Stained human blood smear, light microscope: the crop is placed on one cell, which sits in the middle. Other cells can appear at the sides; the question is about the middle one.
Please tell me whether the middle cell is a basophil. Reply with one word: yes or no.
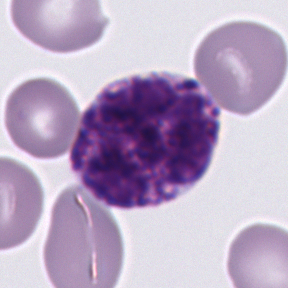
yes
